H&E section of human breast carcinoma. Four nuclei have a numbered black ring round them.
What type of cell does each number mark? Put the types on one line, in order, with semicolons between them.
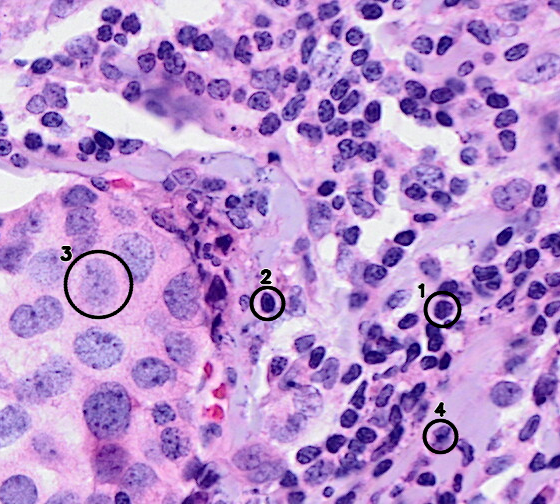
lymphocyte; lymphocyte; carcinoma cell; lymphocyte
